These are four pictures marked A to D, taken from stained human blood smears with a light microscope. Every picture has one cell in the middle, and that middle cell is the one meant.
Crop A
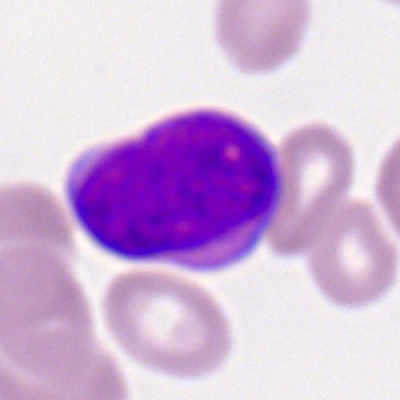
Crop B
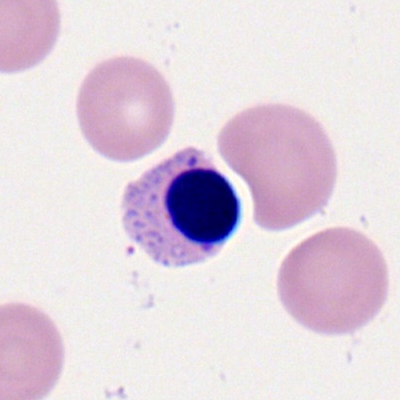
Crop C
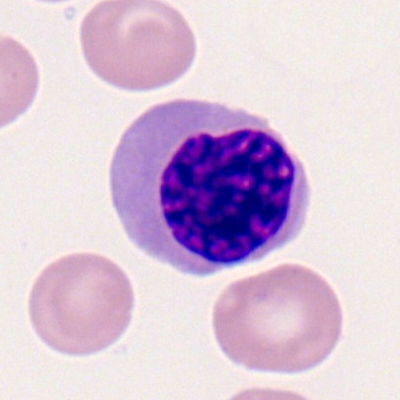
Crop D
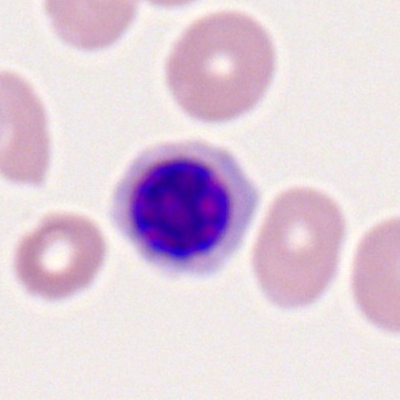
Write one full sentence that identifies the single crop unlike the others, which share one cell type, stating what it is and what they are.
Crop A is a myeloblast, the one exception to the erythroblasts of the other crops.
